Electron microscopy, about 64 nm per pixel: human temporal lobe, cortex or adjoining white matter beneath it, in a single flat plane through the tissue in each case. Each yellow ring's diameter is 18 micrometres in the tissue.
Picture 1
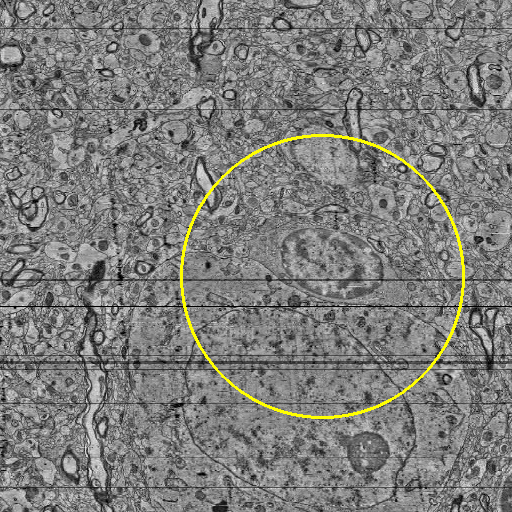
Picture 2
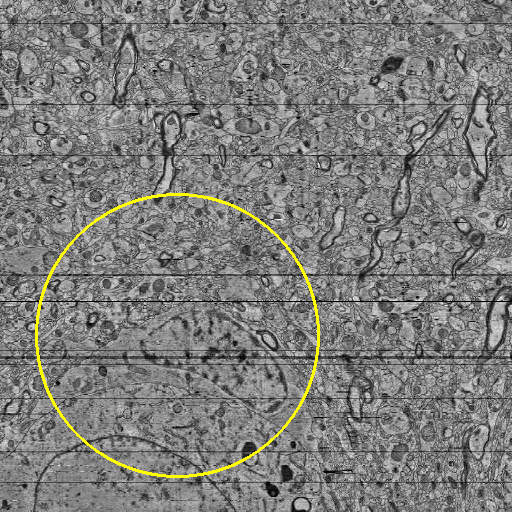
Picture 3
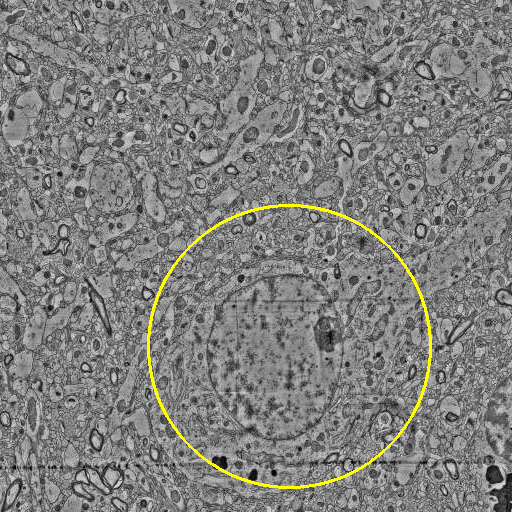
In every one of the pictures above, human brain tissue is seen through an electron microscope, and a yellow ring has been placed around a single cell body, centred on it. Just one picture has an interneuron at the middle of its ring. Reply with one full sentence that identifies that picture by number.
It is picture 3 that shows the wanted cell at its ring's centre.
